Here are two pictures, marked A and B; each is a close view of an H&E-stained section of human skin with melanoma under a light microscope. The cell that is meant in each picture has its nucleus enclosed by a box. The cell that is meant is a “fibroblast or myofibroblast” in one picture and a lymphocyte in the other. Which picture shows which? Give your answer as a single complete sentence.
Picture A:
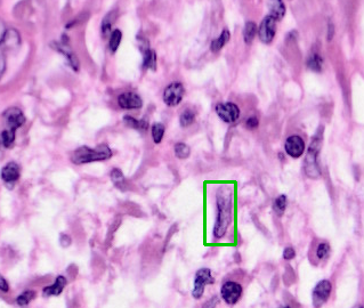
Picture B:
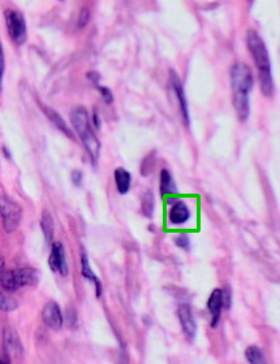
It is picture A that shows a “fibroblast or myofibroblast”, and picture B that shows a lymphocyte.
